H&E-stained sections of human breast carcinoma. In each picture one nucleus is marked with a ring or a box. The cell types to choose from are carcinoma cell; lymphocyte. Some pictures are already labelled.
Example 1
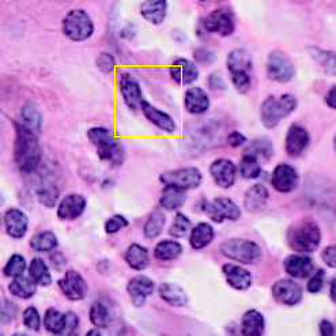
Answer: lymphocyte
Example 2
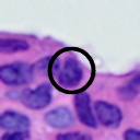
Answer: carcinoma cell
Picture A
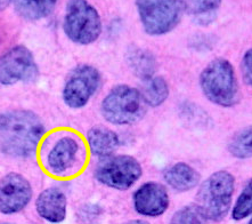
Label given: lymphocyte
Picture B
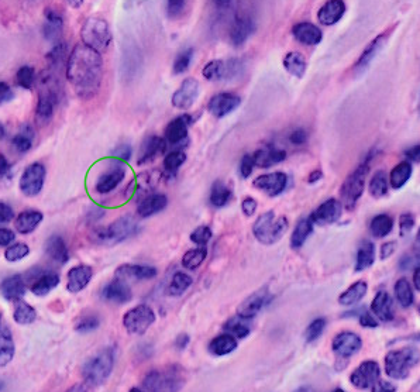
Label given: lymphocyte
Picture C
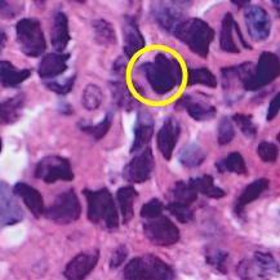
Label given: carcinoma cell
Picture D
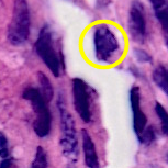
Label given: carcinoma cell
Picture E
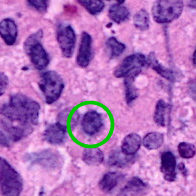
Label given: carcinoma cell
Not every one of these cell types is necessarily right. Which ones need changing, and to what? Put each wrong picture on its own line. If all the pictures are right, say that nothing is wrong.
A is labelled lymphocyte; correct label: carcinoma cell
